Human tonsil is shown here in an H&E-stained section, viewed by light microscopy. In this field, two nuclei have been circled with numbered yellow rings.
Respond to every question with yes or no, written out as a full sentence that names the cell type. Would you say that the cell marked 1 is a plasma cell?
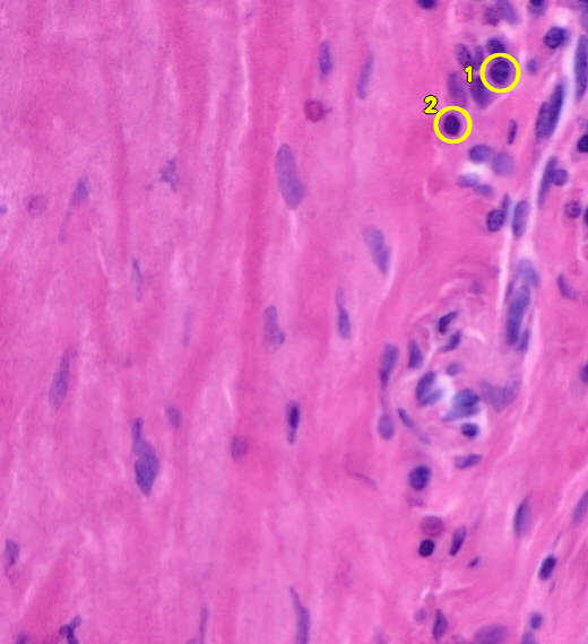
Yes, as for number 1, the cell is a plasma cell.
